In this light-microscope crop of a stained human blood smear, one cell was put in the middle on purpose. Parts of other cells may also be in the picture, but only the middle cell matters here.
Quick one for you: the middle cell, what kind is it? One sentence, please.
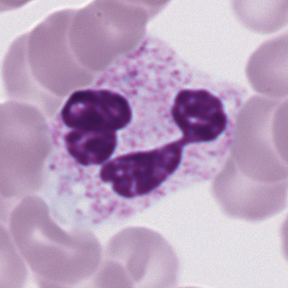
The identification for the central cell is a segmented neutrophil.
